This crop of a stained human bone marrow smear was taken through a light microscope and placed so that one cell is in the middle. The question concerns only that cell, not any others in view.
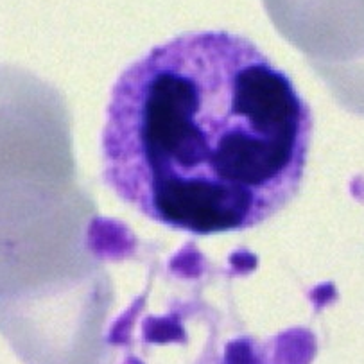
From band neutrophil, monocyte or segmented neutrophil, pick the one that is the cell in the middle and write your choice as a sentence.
This crop is built around a segmented neutrophil at its centre.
